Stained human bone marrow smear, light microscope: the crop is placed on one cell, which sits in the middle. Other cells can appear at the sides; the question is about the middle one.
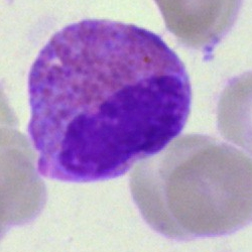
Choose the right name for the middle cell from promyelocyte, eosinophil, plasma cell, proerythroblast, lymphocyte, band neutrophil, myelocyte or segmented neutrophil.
eosinophil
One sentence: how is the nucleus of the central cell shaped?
One compact mass makes up the whole nucleus, round, oval or kidney-shaped.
